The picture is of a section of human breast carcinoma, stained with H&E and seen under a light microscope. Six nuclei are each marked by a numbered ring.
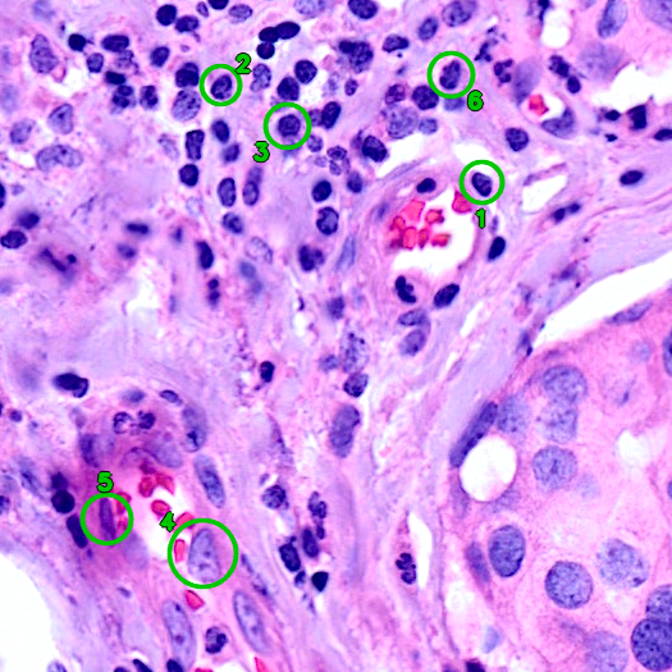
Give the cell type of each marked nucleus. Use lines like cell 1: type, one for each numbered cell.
cell 1: lymphocyte
cell 2: lymphocyte
cell 3: lymphocyte
cell 4: endothelial cell
cell 5: endothelial cell
cell 6: lymphocyte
